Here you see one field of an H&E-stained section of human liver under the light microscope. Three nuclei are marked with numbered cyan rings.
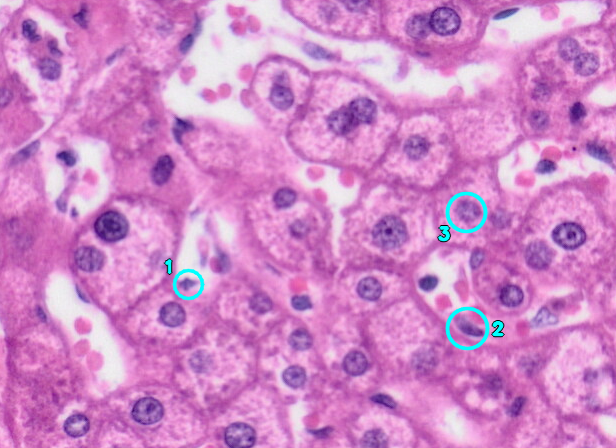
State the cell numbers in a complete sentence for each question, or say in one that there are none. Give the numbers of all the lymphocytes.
Cell 1, and no other numbered cell, is a lymphocyte.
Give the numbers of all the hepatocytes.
Only cell 3 qualifies as a hepatocyte among the numbered cells.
